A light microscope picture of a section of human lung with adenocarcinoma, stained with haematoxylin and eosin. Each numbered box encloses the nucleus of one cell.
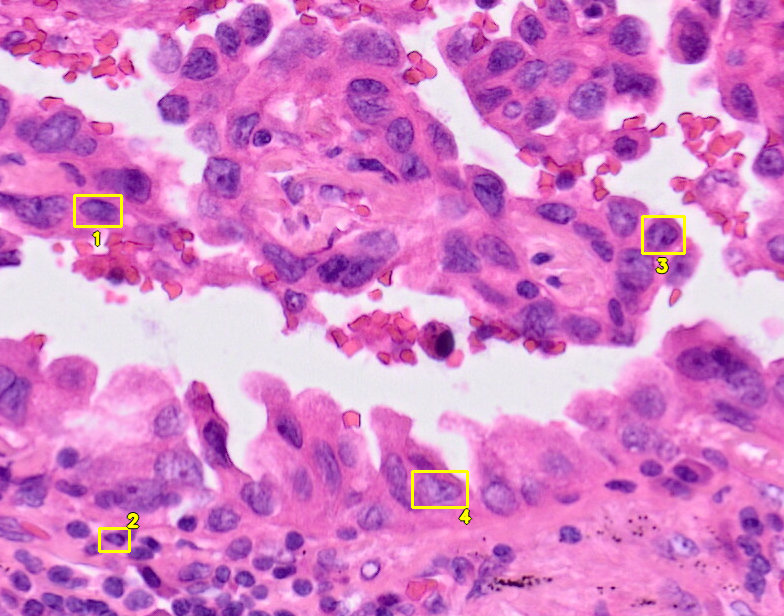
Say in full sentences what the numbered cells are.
Cells 1, 3 and 4 are carcinoma cells. Cell 2 is a lymphocyte.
